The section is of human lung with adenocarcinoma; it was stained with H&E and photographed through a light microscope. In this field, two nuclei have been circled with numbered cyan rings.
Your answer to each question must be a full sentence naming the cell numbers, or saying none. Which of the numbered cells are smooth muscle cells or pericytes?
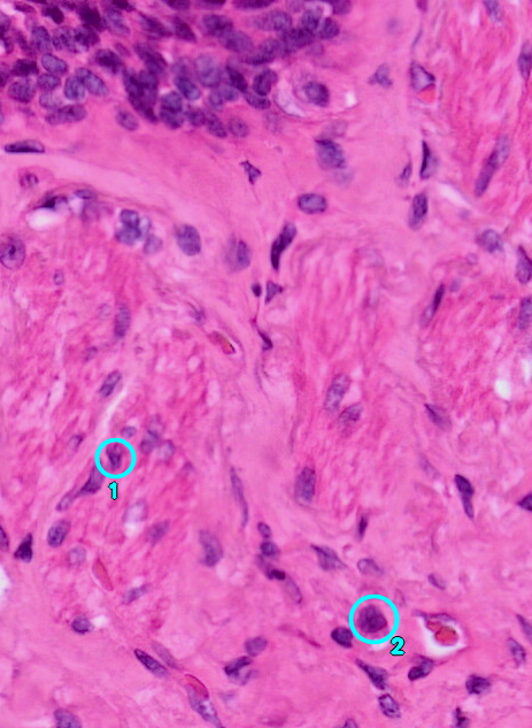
The sole numbered cell that is a smooth muscle cell or pericyte is cell 1.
